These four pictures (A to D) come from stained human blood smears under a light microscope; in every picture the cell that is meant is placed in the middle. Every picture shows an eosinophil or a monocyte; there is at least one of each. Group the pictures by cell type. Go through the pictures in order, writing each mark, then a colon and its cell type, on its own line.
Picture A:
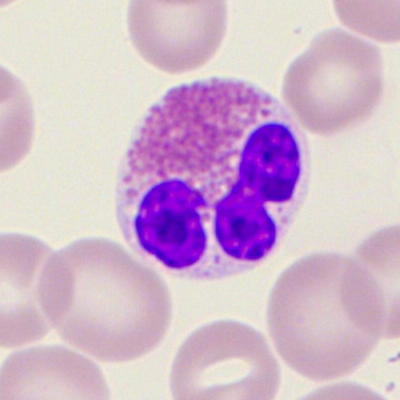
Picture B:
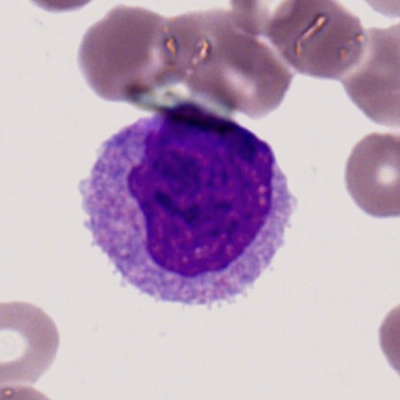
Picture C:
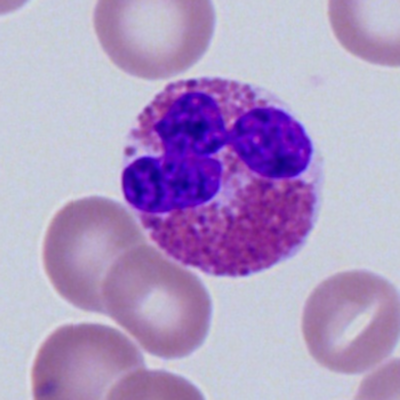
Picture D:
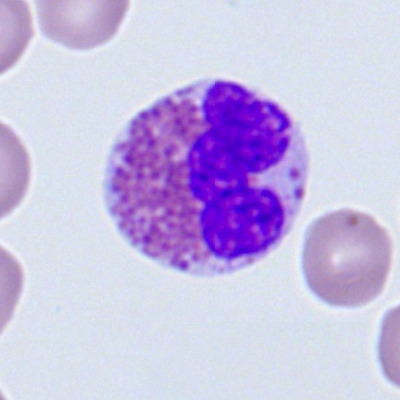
A: eosinophil
B: monocyte
C: eosinophil
D: eosinophil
